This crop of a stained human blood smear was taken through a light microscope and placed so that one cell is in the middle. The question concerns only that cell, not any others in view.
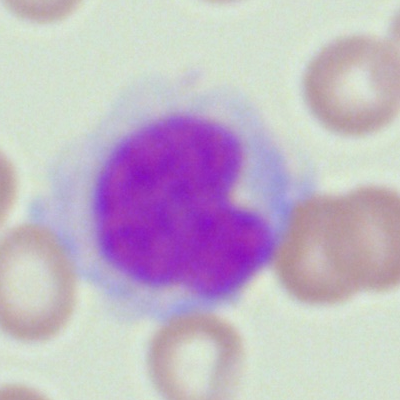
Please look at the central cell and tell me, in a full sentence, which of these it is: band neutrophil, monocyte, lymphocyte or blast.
In this crop, the cell at the very middle is a monocyte.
